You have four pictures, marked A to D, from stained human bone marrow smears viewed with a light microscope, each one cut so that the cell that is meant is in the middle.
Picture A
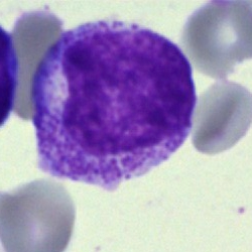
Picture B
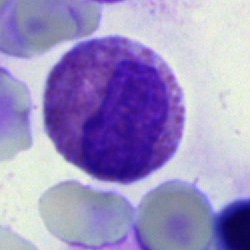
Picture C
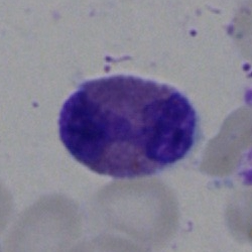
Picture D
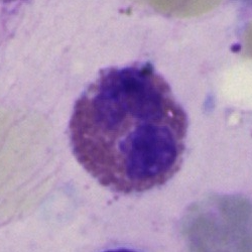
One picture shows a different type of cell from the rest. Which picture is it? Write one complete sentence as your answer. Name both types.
The others show eosinophils, but picture A shows a myelocyte.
